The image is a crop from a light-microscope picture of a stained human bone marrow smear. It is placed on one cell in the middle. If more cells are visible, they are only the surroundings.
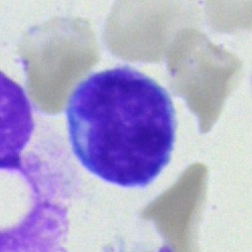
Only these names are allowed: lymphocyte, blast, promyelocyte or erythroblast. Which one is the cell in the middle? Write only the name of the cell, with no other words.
blast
